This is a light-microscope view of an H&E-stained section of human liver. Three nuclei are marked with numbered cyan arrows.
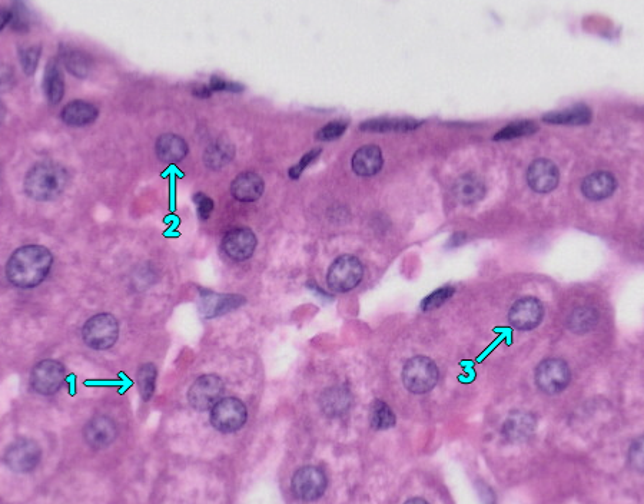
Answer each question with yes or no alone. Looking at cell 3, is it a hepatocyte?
yes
